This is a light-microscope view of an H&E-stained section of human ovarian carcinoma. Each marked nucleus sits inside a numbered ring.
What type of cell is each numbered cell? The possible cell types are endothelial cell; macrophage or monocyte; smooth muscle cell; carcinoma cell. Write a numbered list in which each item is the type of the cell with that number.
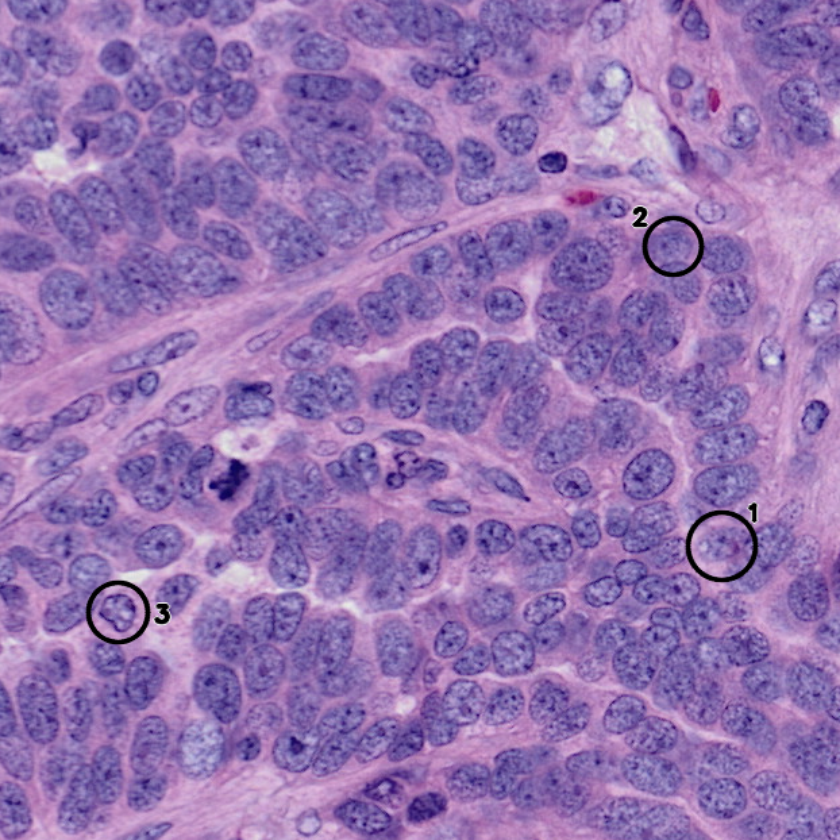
1. carcinoma cell
2. carcinoma cell
3. macrophage or monocyte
